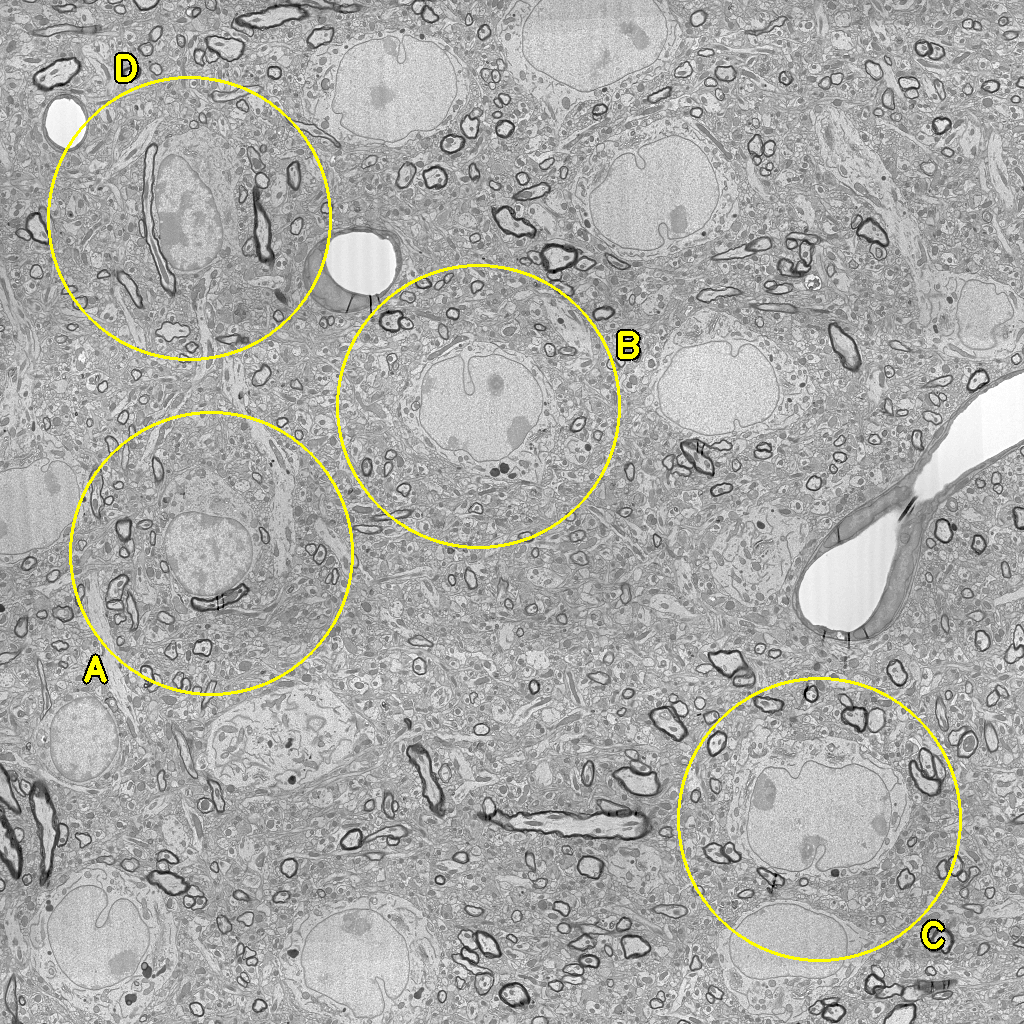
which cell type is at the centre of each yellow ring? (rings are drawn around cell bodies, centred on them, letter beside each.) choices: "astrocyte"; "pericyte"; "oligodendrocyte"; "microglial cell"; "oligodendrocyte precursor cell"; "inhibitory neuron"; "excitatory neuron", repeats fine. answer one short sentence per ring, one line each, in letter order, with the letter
Ring A is an oligodendrocyte.
Ring B is an excitatory neuron.
Ring C is an excitatory neuron.
Ring D is an oligodendrocyte.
